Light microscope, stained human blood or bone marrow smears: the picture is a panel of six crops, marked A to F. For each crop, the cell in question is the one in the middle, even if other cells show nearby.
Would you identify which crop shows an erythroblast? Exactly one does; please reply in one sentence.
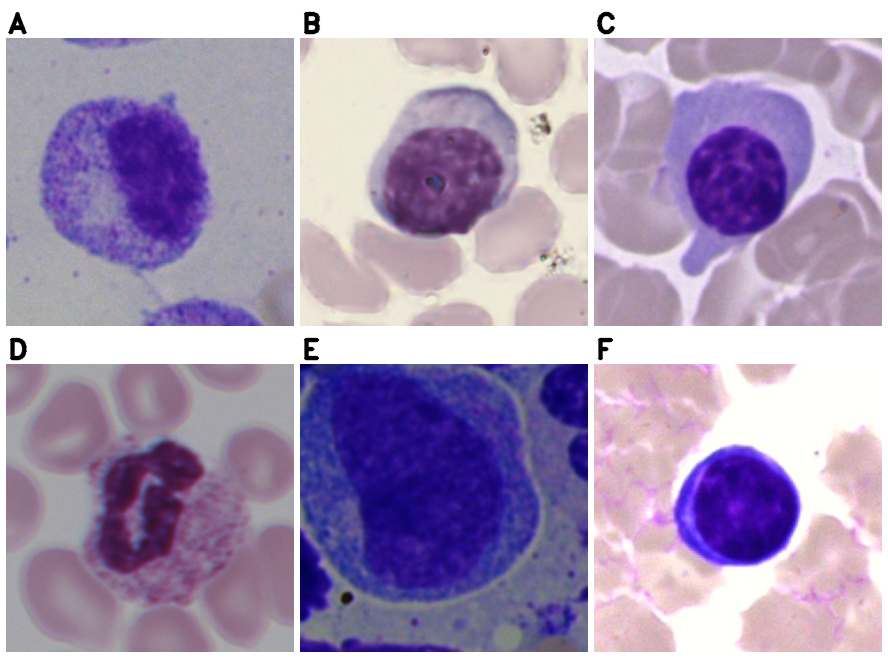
The one showing an erythroblast is crop C.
